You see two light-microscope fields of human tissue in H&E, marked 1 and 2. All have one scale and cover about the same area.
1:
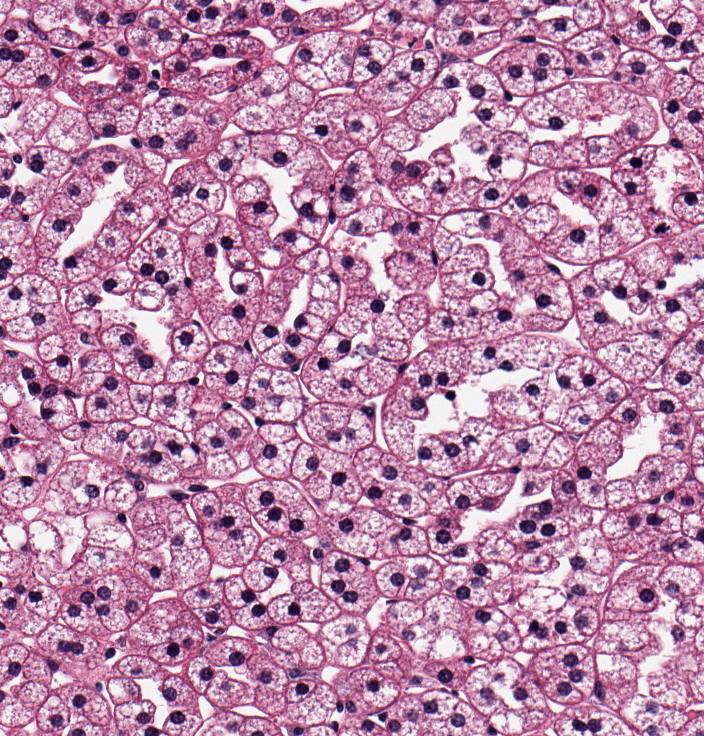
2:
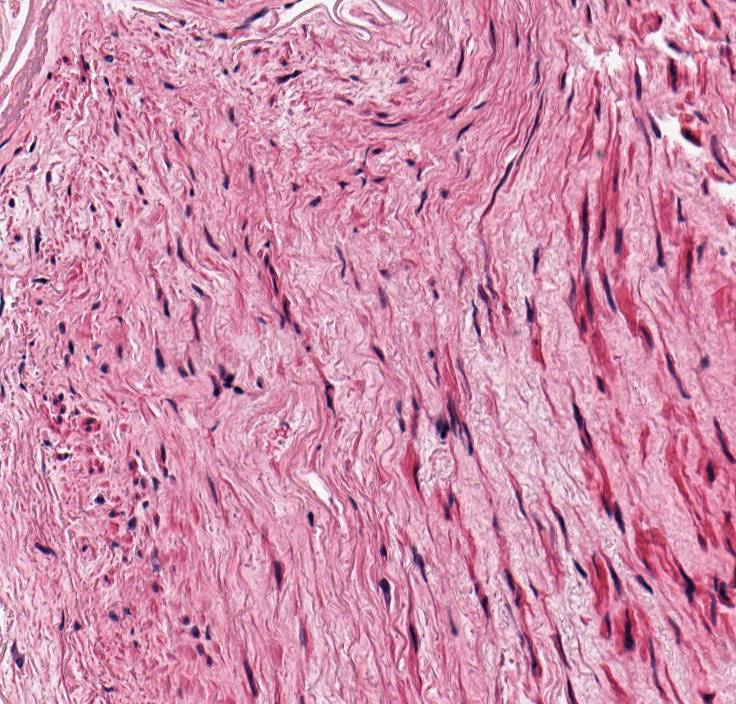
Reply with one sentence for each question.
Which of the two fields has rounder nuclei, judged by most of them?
It is field 1 whose nuclei are the rounder.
